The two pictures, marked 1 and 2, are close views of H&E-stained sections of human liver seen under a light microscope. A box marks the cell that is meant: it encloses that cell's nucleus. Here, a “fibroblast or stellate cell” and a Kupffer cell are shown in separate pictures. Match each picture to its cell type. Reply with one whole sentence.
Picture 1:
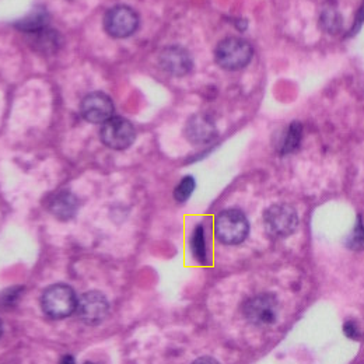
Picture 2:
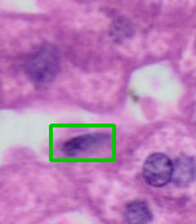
Picture 1 is of a “fibroblast or stellate cell”, and picture 2 is of a Kupffer cell.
